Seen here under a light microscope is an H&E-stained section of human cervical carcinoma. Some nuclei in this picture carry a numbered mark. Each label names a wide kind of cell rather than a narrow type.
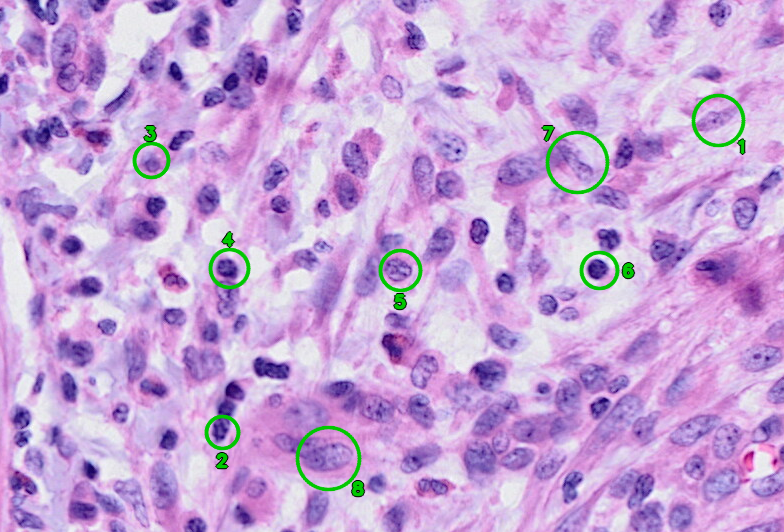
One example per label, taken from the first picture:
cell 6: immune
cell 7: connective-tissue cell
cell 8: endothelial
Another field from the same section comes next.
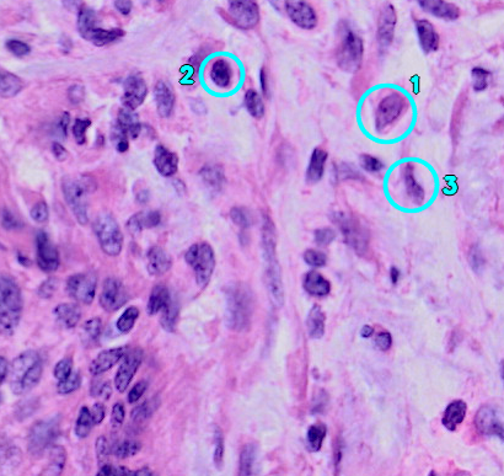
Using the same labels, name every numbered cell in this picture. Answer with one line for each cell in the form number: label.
1: immune
2: immune
3: connective-tissue cell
